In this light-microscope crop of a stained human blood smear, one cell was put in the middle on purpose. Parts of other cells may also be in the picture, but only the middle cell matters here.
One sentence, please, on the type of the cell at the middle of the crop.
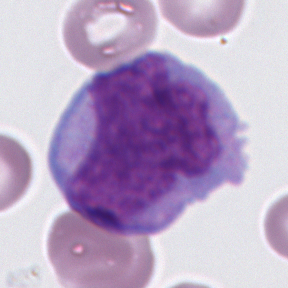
As for the cell in the middle, it is an atypical promyelocyte.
